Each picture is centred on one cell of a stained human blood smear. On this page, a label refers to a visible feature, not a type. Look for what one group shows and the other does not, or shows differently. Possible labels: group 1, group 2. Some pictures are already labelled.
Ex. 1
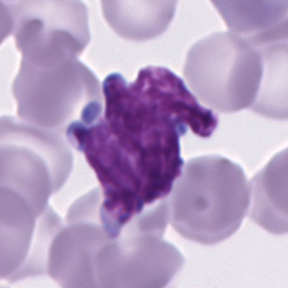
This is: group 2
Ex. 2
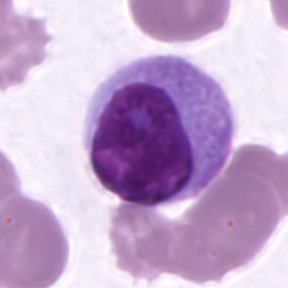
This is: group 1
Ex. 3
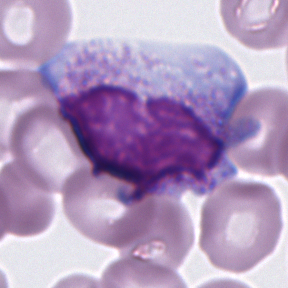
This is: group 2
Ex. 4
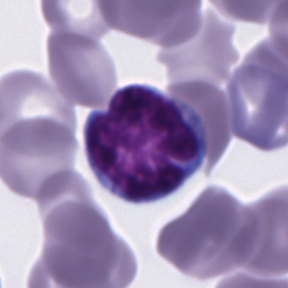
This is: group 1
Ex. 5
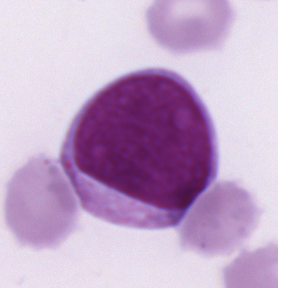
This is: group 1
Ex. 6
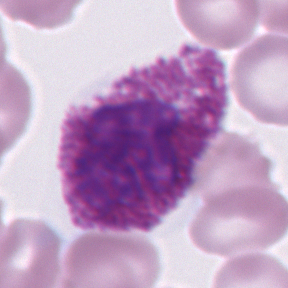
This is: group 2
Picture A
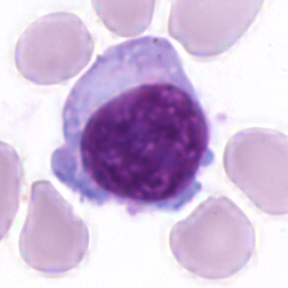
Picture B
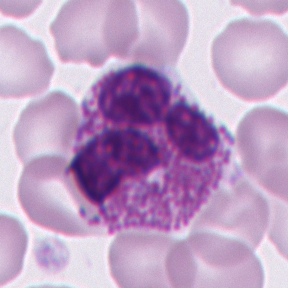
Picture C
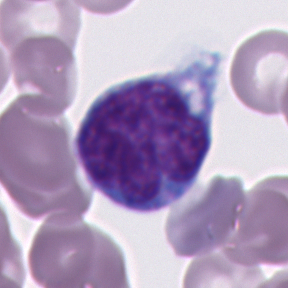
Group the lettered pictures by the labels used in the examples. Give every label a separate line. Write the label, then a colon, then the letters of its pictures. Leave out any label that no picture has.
group 2: A, B, C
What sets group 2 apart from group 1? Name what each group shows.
In group 2: ragged outline or projections. In group 1: smooth outline.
